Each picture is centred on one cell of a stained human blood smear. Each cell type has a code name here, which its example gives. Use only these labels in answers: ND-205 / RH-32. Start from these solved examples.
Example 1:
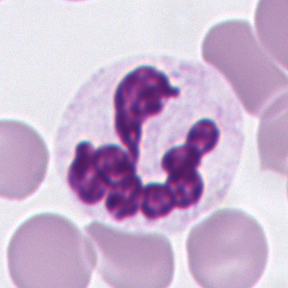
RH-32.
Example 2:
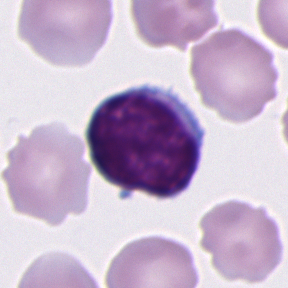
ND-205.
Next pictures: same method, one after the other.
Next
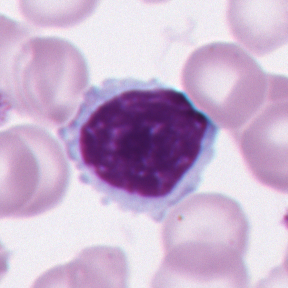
ND-205.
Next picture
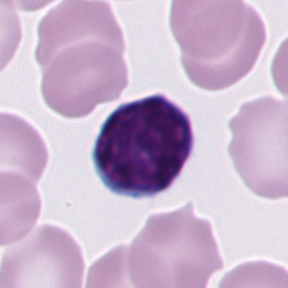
ND-205.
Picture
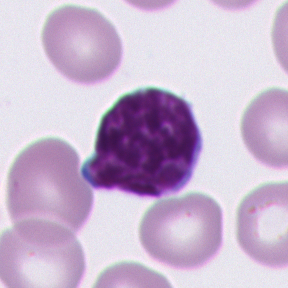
ND-205.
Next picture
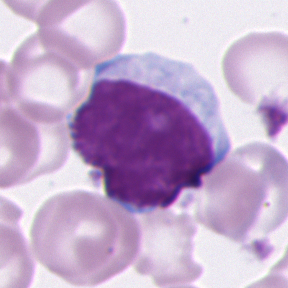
ND-205.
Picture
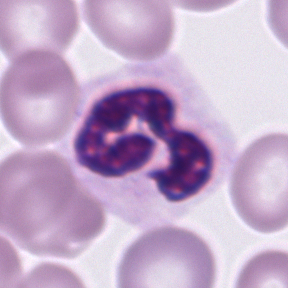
RH-32.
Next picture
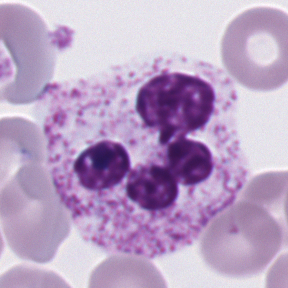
RH-32.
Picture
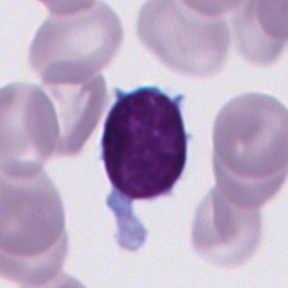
ND-205.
